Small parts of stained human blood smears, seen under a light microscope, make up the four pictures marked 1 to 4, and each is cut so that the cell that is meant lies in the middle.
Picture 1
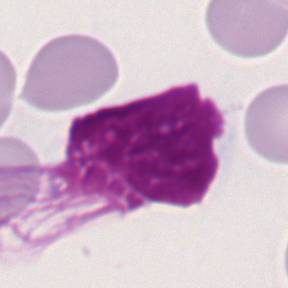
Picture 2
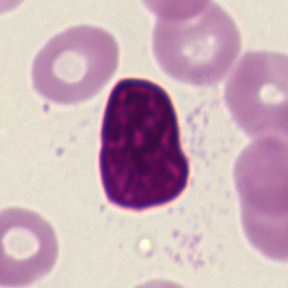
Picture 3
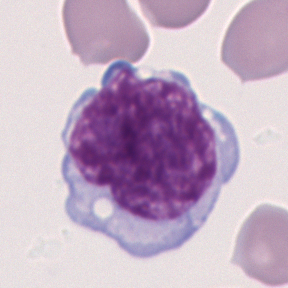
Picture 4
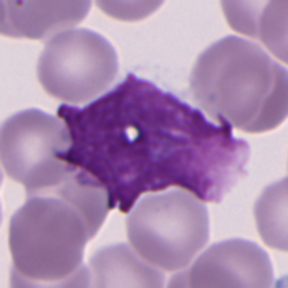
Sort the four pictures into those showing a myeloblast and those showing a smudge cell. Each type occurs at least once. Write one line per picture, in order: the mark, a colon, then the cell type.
1: smudge cell
2: smudge cell
3: myeloblast
4: smudge cell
